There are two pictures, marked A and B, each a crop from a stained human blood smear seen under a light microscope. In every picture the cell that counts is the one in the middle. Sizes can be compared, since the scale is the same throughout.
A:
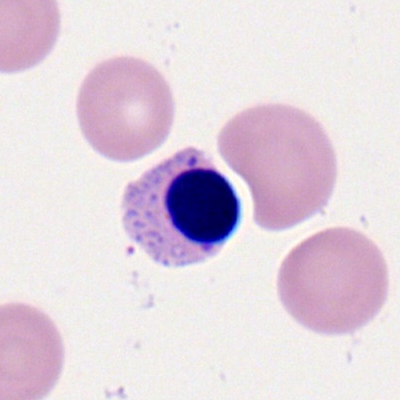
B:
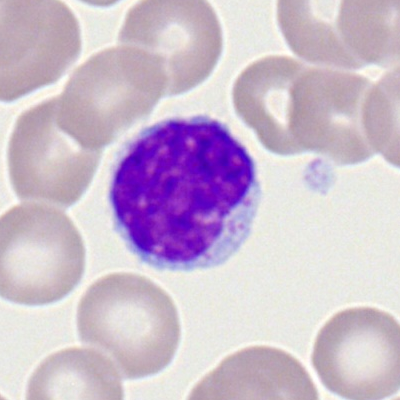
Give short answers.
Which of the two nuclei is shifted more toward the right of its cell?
A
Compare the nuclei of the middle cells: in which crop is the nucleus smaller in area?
A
